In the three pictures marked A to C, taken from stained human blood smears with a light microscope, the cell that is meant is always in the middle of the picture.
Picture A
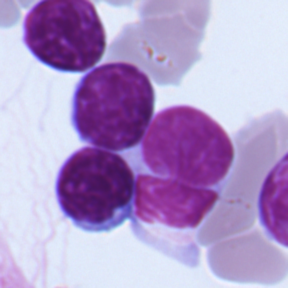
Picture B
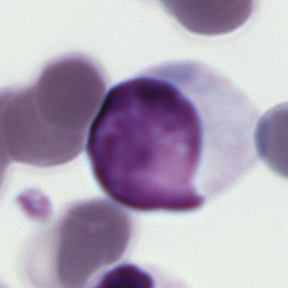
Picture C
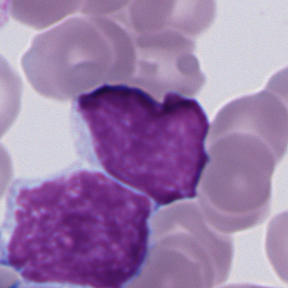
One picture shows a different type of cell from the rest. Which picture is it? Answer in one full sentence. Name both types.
The others show typical lymphocytes, but picture A shows a myeloblast.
